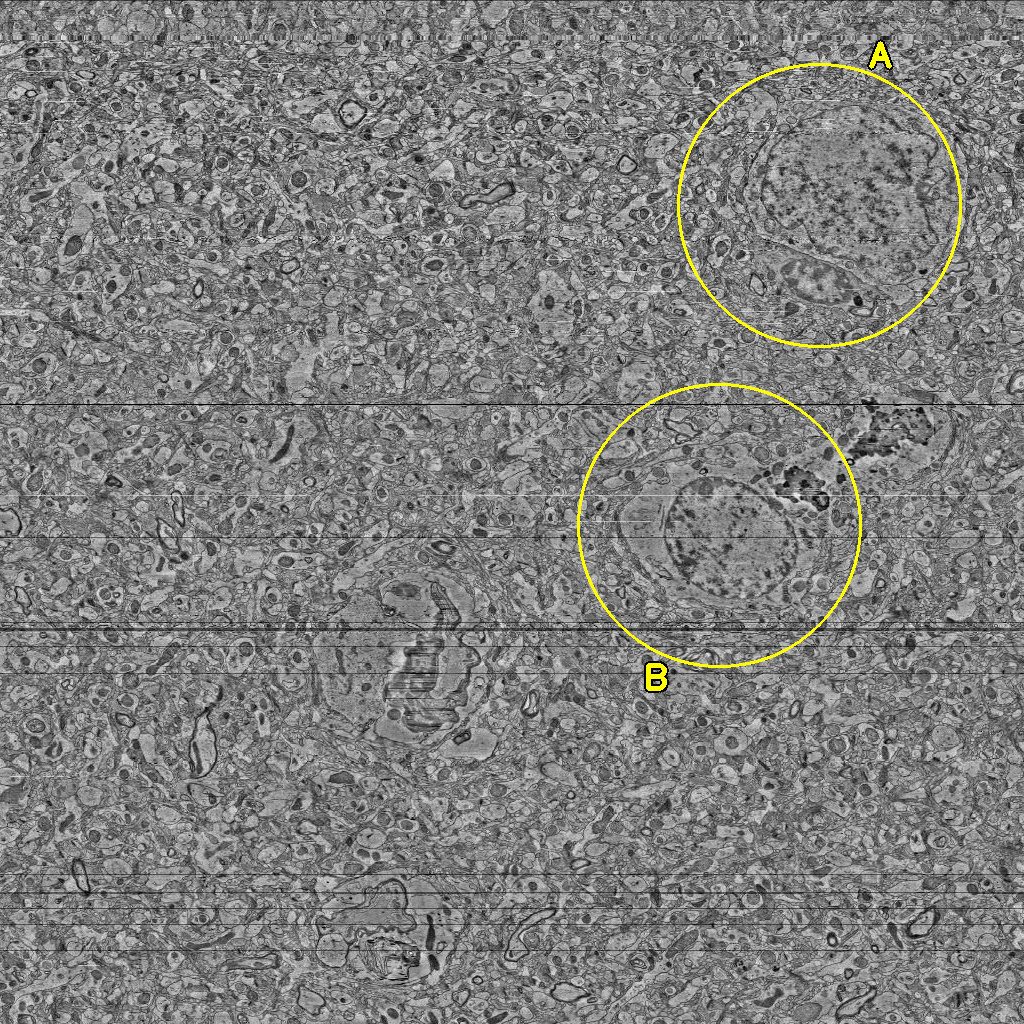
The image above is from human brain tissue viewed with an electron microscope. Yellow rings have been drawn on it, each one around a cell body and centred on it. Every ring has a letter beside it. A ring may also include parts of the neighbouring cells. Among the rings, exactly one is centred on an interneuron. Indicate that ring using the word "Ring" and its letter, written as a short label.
Ring A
